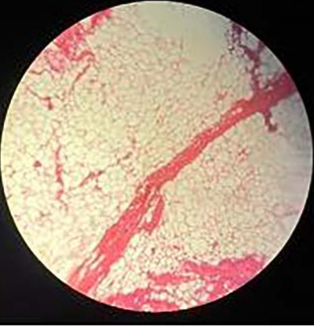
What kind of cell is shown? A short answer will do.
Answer: Adipocytes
